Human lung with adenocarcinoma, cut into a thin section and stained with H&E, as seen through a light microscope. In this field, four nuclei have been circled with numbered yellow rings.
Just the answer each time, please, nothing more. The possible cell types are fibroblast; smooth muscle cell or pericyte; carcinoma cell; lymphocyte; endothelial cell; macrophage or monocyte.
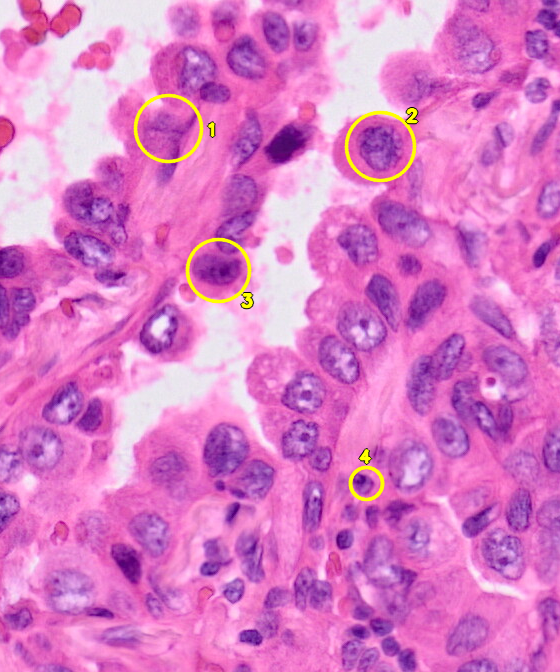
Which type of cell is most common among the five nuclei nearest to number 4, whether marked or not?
lymphocyte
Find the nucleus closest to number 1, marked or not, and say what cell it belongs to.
fibroblast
